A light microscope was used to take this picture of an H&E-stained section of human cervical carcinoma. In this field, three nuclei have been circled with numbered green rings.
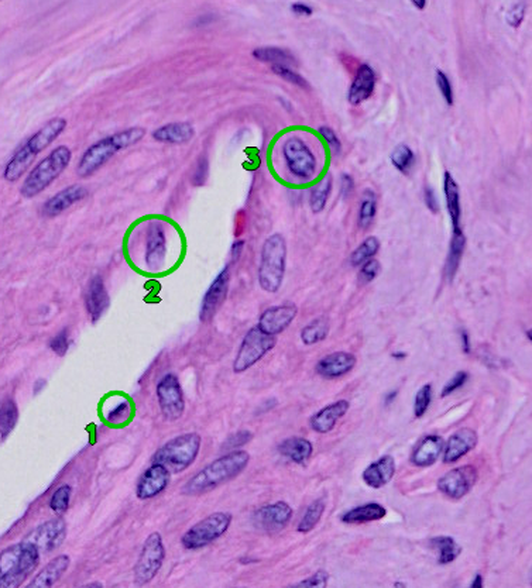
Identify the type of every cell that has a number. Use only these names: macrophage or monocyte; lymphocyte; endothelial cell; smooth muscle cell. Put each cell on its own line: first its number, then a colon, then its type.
1: endothelial cell
2: endothelial cell
3: smooth muscle cell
